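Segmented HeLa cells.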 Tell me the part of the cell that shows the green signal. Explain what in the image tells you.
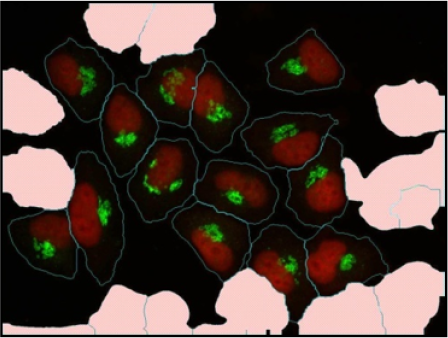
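The green cluster sits pressed against one side of the red nucleus. On this evidence: Golgi complex.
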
